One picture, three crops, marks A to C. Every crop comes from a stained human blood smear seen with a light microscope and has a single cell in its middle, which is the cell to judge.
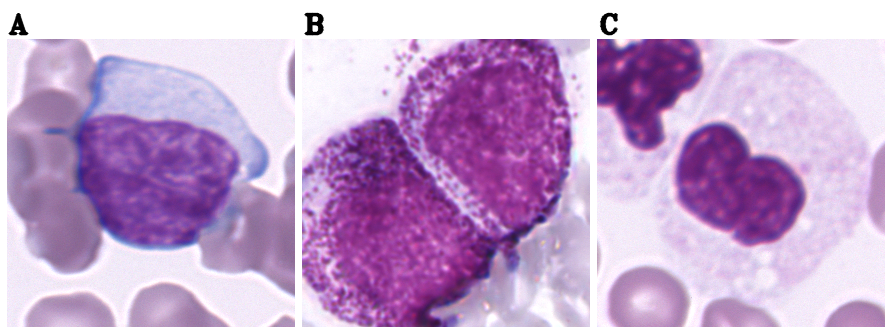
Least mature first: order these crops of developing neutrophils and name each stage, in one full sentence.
From earliest stage to latest stage, the sequence is crop A (a myeloblast), crop B (a promyelocyte) and crop C (a segmented neutrophil).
